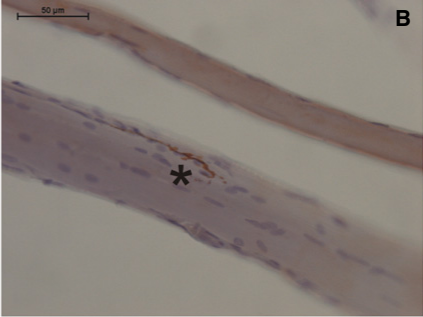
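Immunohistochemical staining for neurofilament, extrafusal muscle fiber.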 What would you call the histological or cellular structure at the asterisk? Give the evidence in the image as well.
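Motor end plate. A small brown-stained branched deposit lies on the surface of a broad muscle fiber. The fiber carries many elongated nuclei.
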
